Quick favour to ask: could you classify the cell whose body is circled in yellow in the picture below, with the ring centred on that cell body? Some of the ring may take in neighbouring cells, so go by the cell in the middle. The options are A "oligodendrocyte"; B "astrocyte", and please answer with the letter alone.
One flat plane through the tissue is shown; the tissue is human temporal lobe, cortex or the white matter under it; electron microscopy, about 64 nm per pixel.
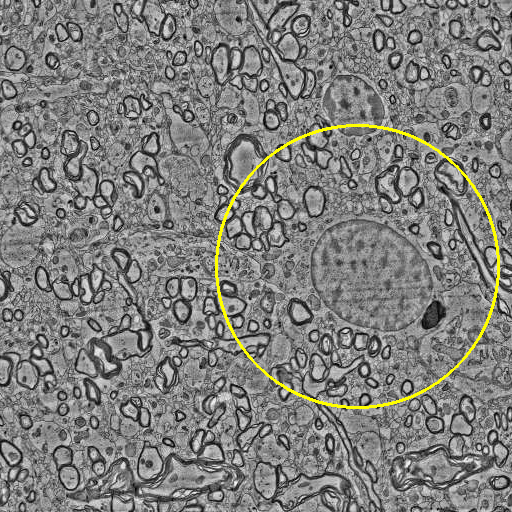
A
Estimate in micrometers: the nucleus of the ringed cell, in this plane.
In this plane the nucleus measures roughly 8 by 7 micrometers.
